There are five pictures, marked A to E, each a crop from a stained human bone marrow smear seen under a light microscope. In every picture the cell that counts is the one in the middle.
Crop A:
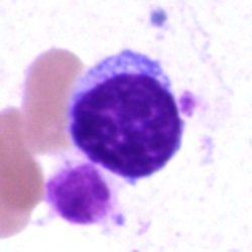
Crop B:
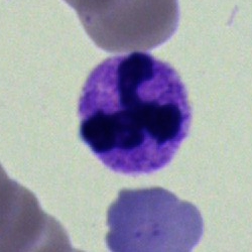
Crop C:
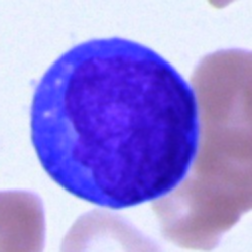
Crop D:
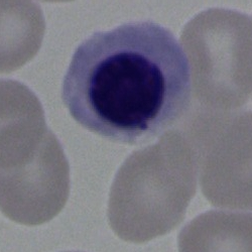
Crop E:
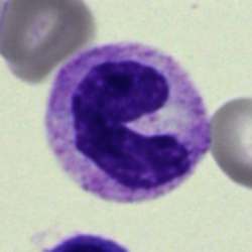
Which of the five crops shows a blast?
C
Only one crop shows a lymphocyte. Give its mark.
A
